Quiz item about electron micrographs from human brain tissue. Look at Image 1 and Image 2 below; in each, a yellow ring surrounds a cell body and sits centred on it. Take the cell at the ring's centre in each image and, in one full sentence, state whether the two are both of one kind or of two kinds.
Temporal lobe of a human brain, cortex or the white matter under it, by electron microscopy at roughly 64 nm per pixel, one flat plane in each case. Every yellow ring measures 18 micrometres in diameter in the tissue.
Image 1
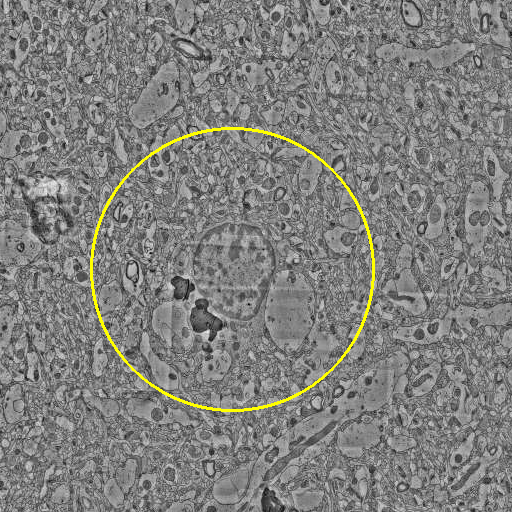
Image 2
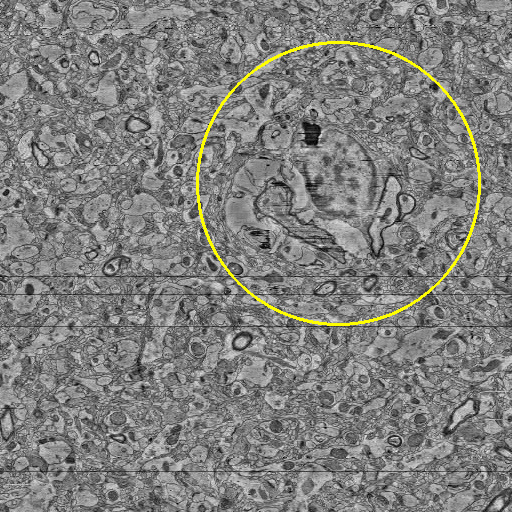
In Image 1 and Image 2, the cells at the ring centres are both of one kind.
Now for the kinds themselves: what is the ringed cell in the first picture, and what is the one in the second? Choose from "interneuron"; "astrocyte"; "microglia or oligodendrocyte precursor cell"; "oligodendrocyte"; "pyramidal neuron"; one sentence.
Both pictures show an oligodendrocyte at the centre of the ring.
